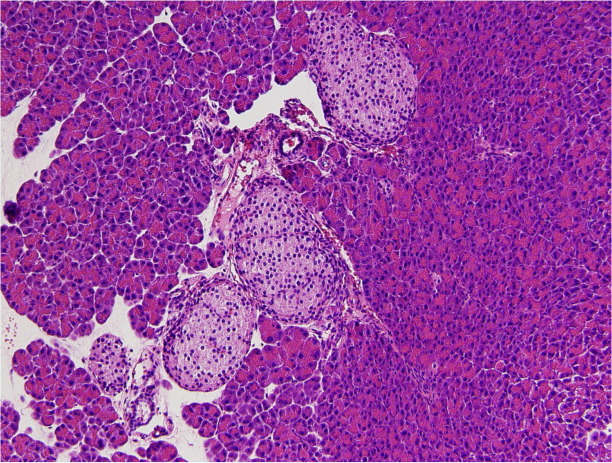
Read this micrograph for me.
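Pancreas section in which several islets, rounded pale-staining clusters of cells of differing sizes, lie embedded in the surrounding glandular tissue. The islet cells have small round purple nuclei and pale, lightly pink cytoplasm, contrasting with the darker pink-purple, densely packed glandular cells around them. The islets are grouped along a strand of loose connective tissue that carries a small vessel. The glandular tissue is divided into lobules separated by clear white spaces, especially on the left side of the section, while the right side is more compact.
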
